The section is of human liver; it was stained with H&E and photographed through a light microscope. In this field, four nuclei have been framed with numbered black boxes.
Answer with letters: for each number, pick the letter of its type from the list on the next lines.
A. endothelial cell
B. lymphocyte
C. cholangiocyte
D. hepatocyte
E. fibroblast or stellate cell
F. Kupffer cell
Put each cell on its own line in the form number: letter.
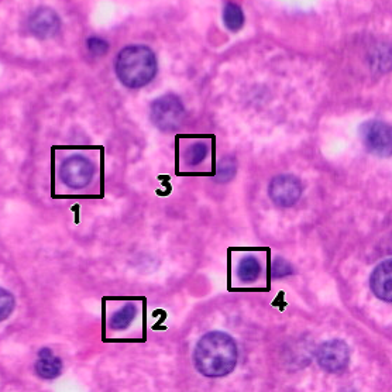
1: D
2: B
3: E
4: B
